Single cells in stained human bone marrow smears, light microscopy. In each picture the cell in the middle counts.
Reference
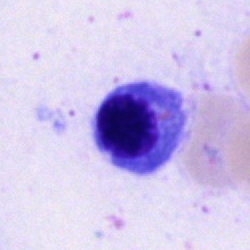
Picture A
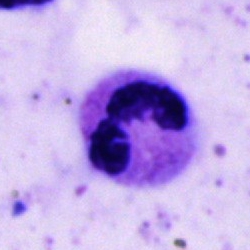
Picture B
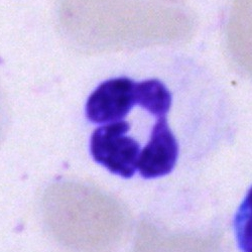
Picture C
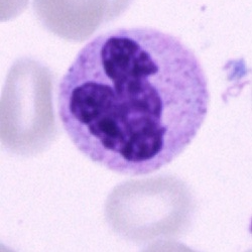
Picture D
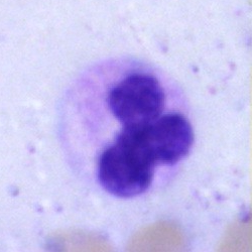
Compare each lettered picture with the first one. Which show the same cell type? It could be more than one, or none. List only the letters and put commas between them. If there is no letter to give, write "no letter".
no letter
